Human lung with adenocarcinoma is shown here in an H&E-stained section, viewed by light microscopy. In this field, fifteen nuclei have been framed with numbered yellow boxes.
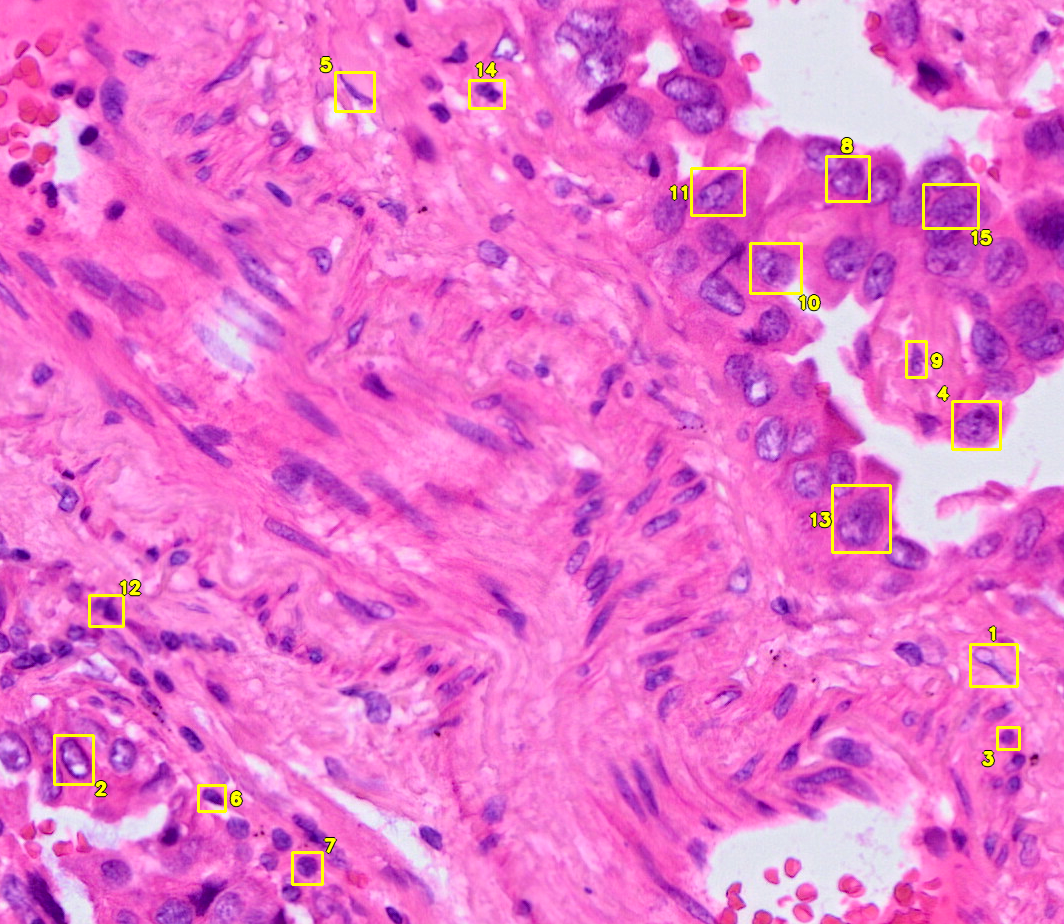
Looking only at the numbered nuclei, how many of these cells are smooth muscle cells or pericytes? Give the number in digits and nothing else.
1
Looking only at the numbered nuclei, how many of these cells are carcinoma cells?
7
